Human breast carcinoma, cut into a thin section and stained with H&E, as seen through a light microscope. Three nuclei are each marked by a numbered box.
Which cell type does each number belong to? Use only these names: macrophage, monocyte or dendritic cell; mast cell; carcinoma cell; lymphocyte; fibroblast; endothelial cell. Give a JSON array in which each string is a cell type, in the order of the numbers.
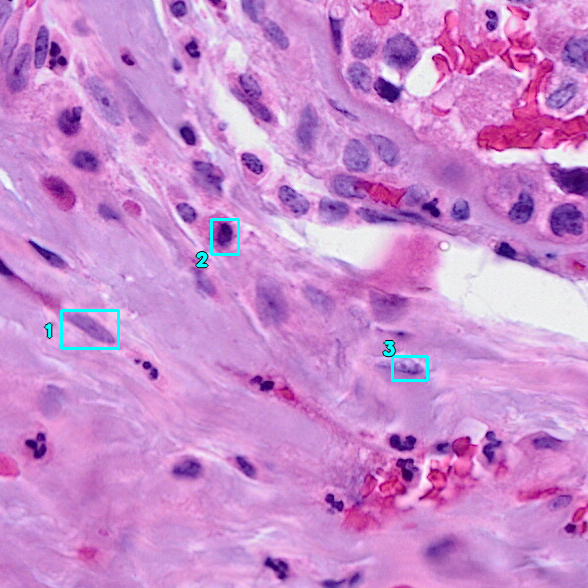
["fibroblast", "mast cell", "fibroblast"]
